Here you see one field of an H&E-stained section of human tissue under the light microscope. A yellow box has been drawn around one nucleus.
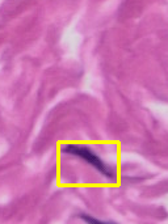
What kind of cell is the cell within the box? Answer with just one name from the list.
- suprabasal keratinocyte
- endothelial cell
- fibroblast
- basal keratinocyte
fibroblast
